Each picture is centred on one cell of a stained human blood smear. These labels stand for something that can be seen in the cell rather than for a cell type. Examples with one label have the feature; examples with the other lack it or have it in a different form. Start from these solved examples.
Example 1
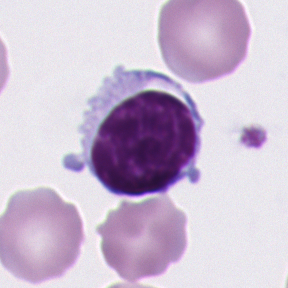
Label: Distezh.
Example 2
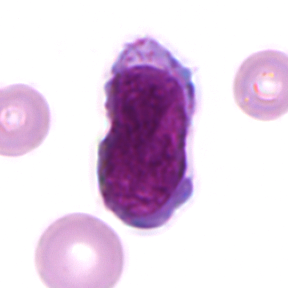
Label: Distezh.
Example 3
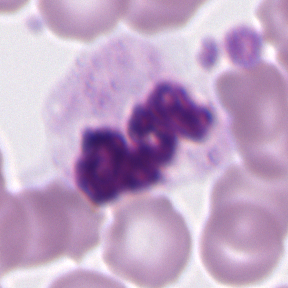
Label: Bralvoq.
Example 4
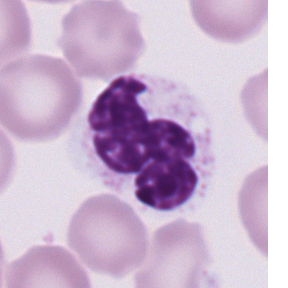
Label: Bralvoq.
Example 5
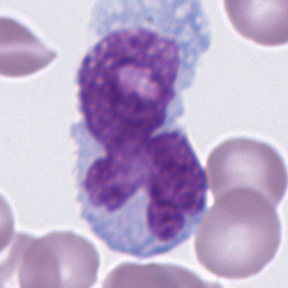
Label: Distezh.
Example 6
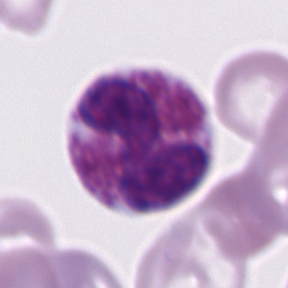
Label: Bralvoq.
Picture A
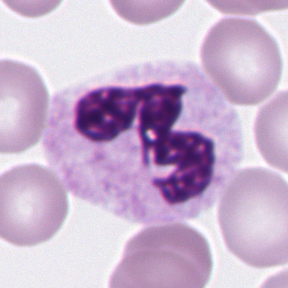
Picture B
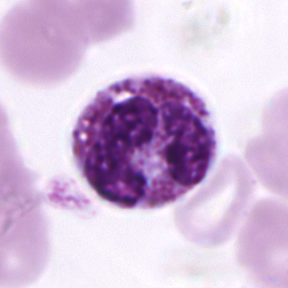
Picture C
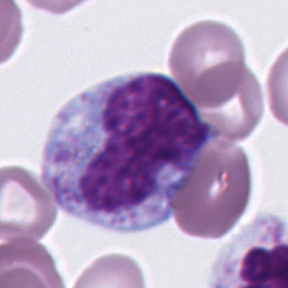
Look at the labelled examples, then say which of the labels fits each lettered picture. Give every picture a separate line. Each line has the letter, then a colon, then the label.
A: Bralvoq.
B: Bralvoq.
C: Bralvoq.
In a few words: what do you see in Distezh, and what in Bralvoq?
Distezh: ragged outline or projections; Bralvoq: smooth outline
